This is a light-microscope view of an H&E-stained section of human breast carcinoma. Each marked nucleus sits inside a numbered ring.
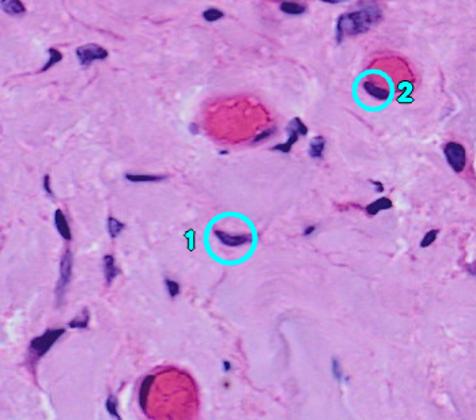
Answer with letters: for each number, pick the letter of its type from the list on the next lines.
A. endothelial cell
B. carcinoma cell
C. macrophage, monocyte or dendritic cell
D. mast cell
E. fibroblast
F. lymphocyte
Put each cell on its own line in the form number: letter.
1: E
2: A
